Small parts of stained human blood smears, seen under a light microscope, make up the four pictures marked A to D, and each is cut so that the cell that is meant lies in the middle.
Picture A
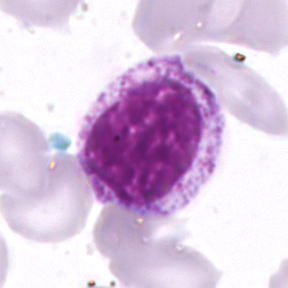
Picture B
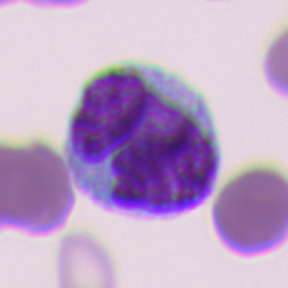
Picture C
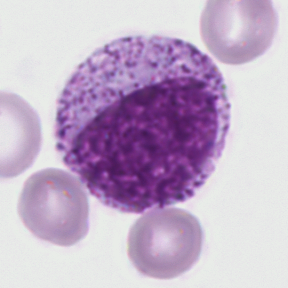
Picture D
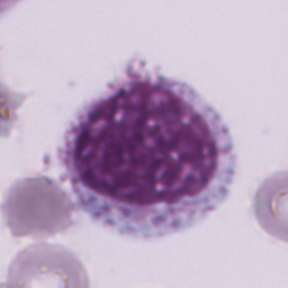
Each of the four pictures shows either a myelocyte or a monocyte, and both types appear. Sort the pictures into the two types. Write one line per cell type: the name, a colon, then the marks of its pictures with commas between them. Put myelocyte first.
myelocyte: A, C, D
monocyte: B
